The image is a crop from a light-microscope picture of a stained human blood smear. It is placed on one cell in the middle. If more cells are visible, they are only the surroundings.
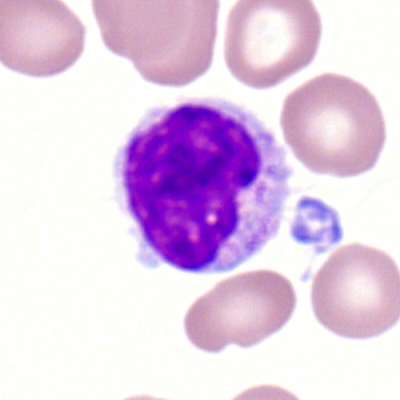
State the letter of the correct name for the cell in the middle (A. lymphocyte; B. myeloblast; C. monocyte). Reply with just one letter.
A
